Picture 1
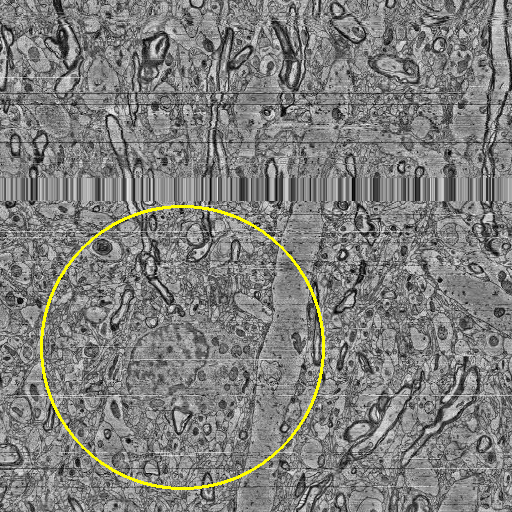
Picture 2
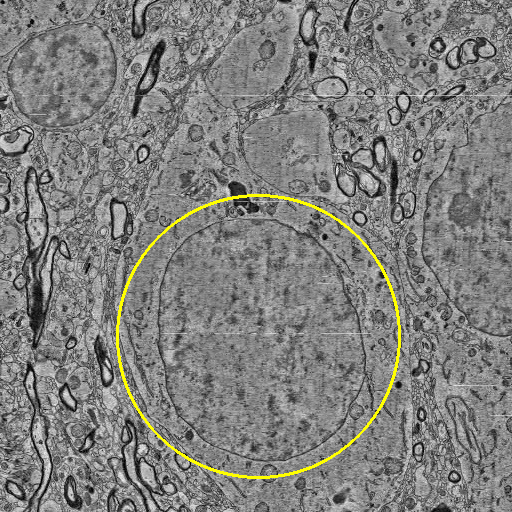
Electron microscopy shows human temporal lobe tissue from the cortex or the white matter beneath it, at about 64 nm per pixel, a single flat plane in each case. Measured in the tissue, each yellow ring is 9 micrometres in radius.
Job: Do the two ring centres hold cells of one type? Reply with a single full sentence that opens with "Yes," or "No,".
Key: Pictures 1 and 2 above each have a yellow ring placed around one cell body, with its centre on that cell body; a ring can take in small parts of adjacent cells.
No, the cells at the two ring centres are of two separate types.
